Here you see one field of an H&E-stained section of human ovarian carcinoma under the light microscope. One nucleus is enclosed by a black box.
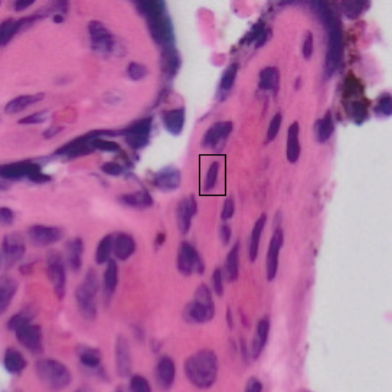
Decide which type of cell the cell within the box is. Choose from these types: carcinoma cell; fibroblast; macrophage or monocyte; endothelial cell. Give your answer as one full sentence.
Within this tissue, the cell within the box is an endothelial cell.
